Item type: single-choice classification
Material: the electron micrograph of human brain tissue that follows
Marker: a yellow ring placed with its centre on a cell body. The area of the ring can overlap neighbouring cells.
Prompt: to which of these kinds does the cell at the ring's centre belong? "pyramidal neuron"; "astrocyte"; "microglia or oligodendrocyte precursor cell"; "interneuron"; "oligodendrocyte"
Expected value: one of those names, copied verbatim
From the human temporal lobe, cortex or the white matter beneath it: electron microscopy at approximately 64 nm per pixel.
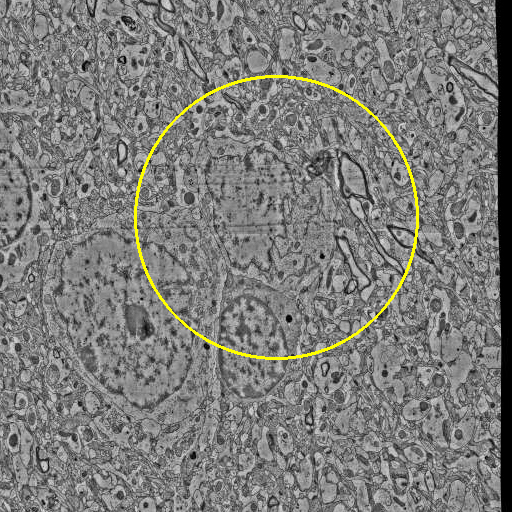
interneuron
